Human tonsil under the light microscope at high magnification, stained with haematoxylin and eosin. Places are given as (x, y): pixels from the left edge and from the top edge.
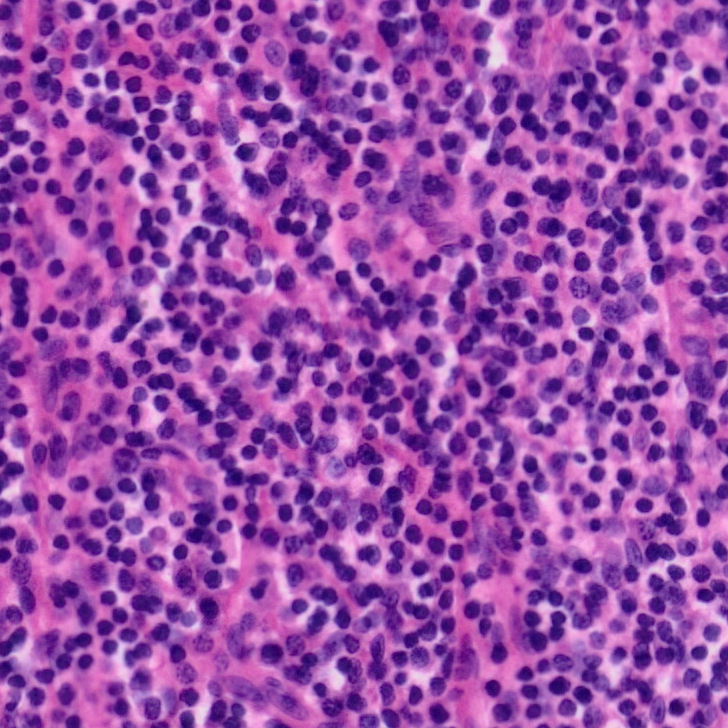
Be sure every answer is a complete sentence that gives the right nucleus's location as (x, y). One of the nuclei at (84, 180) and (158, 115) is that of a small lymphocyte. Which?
It is the nucleus at (158, 115) that belongs to a small lymphocyte.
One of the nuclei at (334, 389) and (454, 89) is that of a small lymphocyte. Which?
The nucleus at (334, 389) is assigned to a small lymphocyte.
